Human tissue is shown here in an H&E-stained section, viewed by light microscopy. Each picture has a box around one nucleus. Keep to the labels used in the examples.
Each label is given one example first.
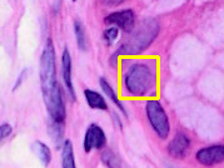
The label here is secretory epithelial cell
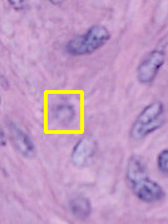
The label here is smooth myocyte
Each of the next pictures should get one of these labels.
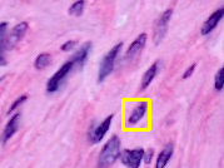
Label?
smooth myocyte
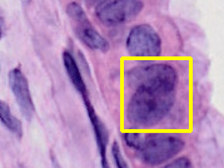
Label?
secretory epithelial cell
